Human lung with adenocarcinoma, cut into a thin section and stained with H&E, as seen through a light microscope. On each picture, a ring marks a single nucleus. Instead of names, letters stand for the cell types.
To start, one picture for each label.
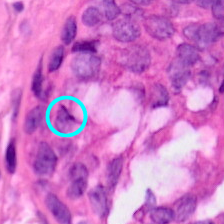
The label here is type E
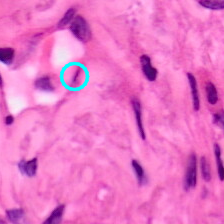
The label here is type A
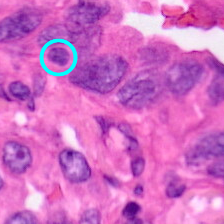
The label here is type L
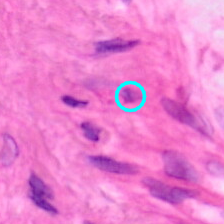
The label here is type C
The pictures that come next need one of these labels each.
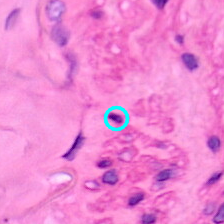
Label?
type C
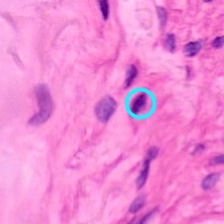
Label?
type C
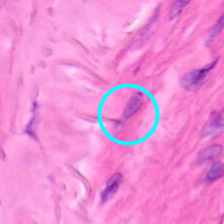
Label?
type C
